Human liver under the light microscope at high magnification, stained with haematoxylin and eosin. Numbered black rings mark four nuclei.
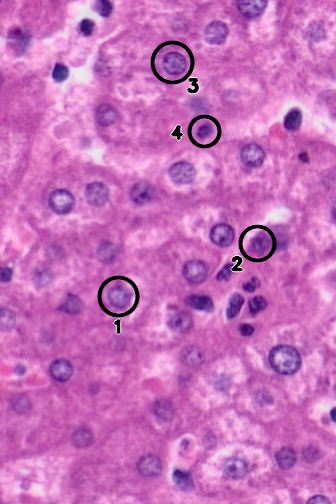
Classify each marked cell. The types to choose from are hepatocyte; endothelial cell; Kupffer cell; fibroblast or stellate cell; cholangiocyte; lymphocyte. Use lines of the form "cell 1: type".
cell 1: hepatocyte
cell 2: Kupffer cell
cell 3: hepatocyte
cell 4: lymphocyte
